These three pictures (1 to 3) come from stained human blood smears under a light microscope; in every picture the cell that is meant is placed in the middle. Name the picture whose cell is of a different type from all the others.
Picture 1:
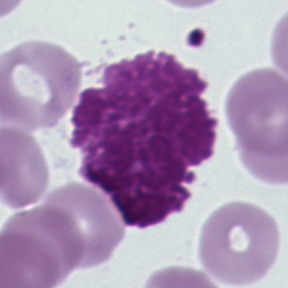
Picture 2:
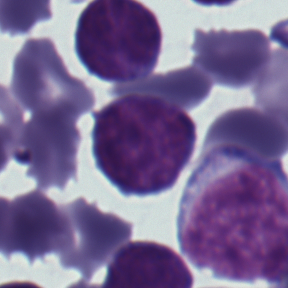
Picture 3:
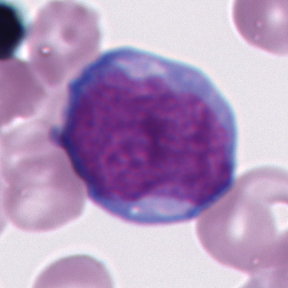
1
